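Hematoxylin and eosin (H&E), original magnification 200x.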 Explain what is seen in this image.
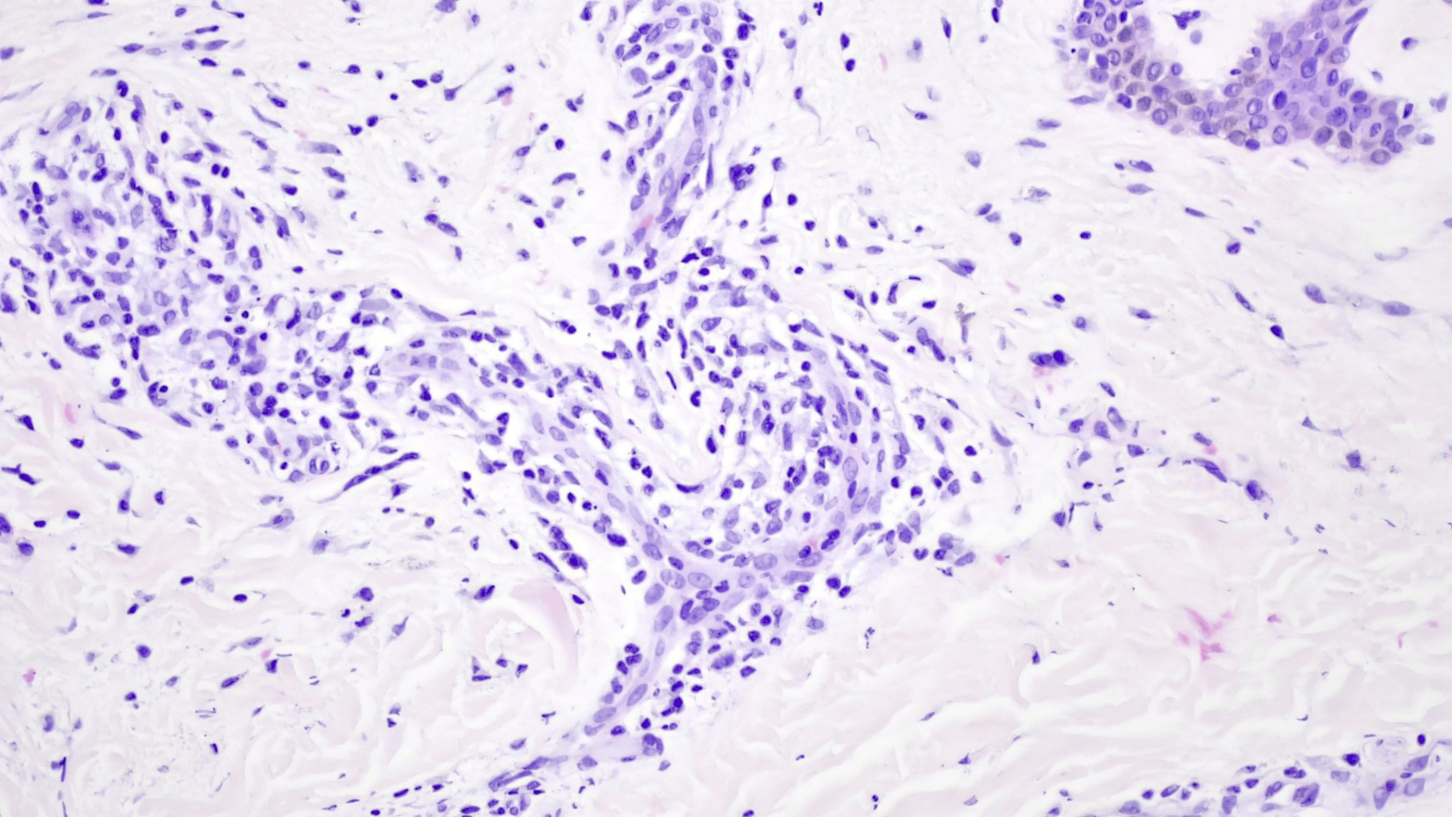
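This shows a perivascular infiltrate of lymphocytes and histiocytes in loose, pale pink fibrous connective tissue. The cells cluster in cuffs around small vessels in the centre and left of the field. Small round lymphocytes with dark nuclei and little cytoplasm mix with larger histiocytes, which have oval, paler nuclei and more cytoplasm, while the stroma around them holds only scattered spindle-shaped cells.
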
